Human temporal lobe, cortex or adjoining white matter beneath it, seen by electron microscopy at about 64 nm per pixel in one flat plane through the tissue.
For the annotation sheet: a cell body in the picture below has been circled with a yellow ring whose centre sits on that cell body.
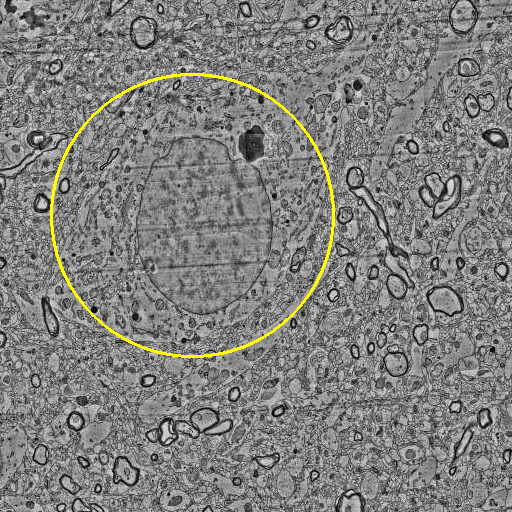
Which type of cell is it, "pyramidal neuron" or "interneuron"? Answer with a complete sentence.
The circled cell is an interneuron.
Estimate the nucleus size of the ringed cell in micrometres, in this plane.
Roughly 11 by 9 micrometres is the size of the nucleus in this plane.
